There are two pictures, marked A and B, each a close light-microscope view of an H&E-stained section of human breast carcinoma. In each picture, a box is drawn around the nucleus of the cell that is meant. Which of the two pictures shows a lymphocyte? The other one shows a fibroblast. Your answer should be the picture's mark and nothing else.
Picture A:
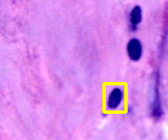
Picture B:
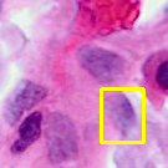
A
